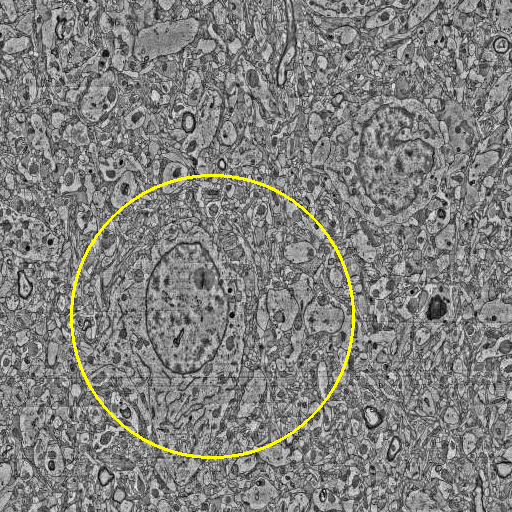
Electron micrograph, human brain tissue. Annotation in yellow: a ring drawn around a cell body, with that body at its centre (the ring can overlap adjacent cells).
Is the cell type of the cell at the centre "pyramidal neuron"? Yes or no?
Yes, it is of that type.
